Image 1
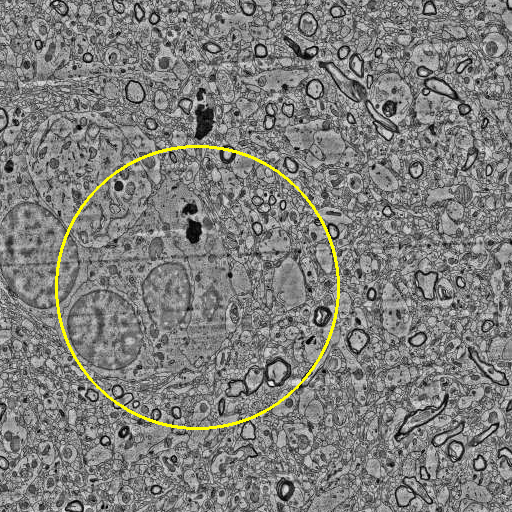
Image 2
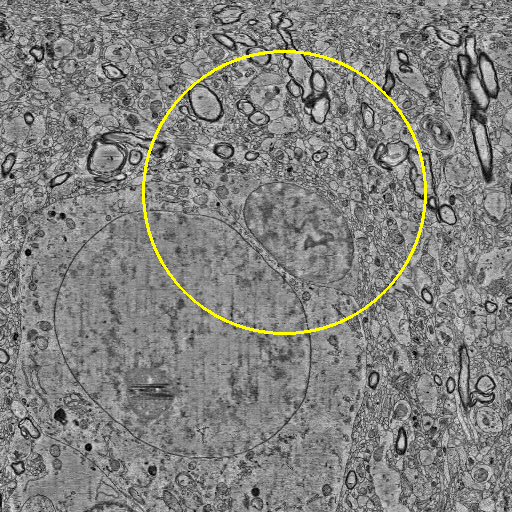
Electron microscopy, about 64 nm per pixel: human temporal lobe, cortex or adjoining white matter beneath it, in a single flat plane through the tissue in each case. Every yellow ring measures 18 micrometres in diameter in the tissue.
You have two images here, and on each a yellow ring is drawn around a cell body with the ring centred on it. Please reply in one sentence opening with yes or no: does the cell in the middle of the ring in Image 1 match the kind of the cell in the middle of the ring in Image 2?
Yes, the two images show cells of one kind at the centres of their rings.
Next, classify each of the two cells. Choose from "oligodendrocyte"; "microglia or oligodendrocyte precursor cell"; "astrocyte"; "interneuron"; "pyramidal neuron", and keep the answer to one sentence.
Each cell, in the first picture and the second, is an oligodendrocyte.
